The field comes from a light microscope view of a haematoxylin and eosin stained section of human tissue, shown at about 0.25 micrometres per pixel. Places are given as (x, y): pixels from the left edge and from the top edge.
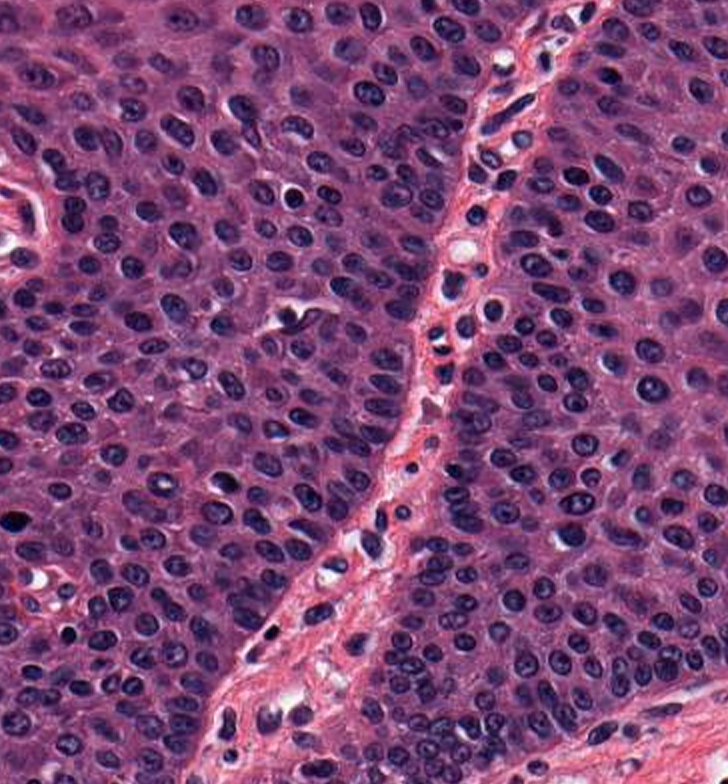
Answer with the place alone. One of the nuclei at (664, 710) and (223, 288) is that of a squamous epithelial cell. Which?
(223, 288)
